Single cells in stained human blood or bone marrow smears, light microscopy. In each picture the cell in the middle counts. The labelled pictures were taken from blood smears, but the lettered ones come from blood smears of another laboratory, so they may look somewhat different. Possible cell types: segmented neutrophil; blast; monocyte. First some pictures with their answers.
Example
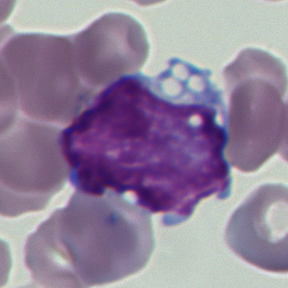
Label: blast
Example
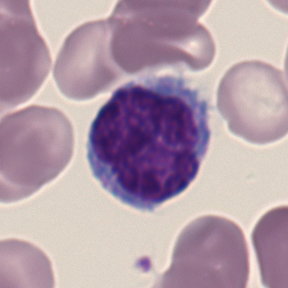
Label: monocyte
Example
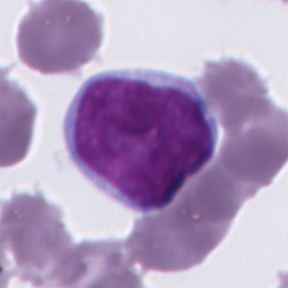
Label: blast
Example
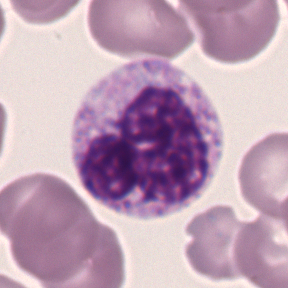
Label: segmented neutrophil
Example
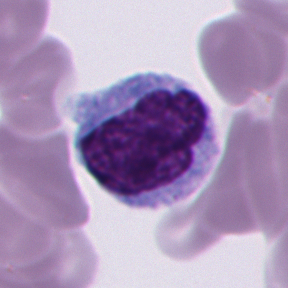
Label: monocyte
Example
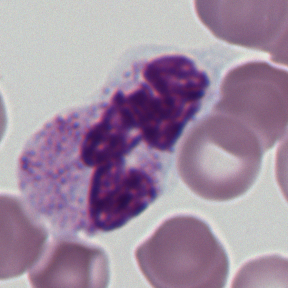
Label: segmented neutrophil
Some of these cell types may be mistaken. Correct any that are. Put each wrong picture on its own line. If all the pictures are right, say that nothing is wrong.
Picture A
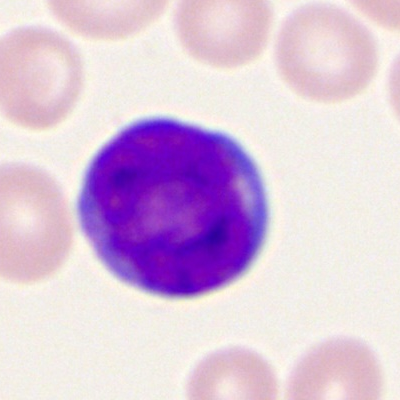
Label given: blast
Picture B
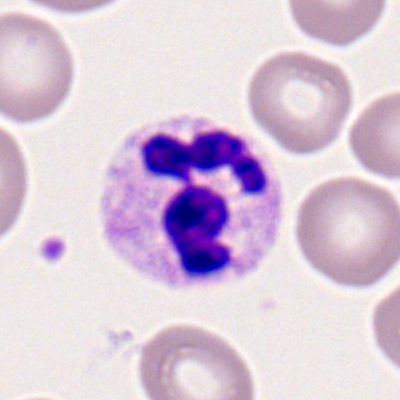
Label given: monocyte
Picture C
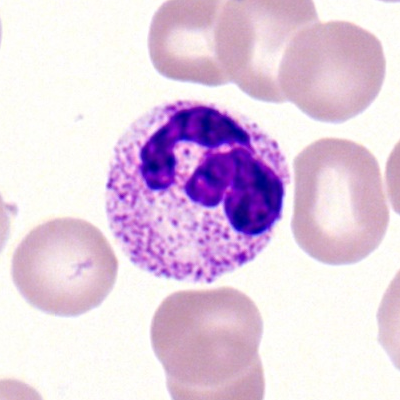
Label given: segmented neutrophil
B: change monocyte to segmented neutrophil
